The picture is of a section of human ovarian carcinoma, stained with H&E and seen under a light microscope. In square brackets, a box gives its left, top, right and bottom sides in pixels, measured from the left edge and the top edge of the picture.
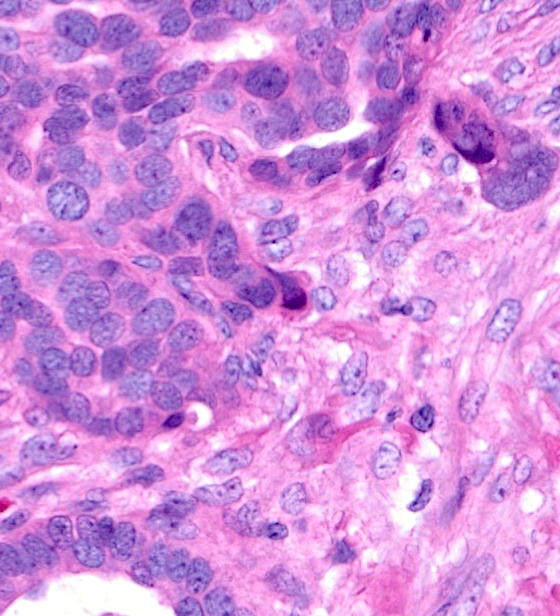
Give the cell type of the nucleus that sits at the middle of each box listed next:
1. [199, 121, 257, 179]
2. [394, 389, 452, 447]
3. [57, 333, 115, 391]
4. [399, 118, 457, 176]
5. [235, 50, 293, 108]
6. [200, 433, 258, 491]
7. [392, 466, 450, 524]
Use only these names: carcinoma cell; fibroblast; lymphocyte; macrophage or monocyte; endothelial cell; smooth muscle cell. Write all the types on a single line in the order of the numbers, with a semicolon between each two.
fibroblast; macrophage or monocyte; carcinoma cell; macrophage or monocyte; carcinoma cell; fibroblast; macrophage or monocyte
